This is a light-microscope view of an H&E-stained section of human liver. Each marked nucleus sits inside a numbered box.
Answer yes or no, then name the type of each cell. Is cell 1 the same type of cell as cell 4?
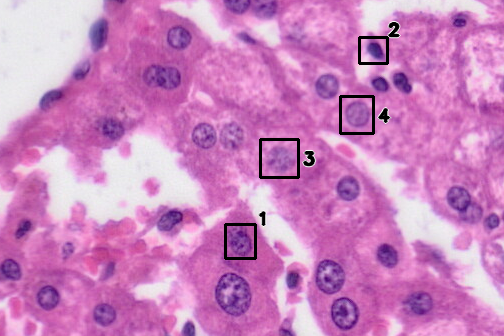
Yes, both are hepatocytes.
